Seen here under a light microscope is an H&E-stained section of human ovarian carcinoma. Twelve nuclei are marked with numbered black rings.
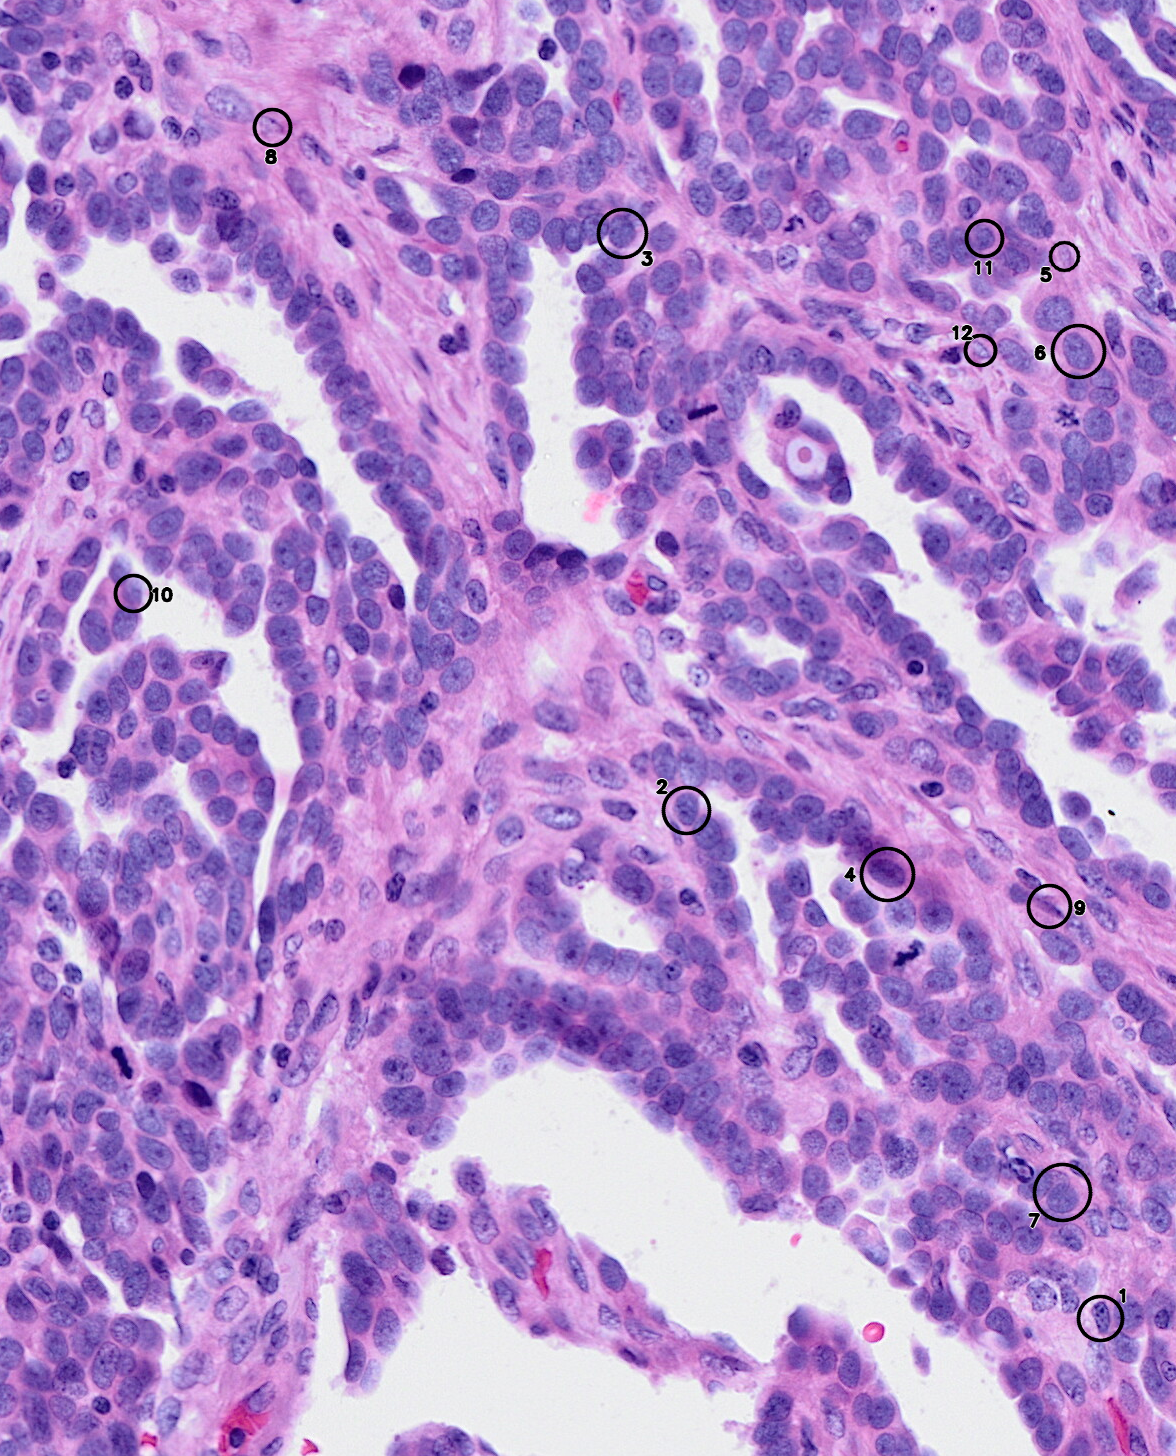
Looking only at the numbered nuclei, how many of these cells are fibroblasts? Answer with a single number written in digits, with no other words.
4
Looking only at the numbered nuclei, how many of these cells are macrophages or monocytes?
1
